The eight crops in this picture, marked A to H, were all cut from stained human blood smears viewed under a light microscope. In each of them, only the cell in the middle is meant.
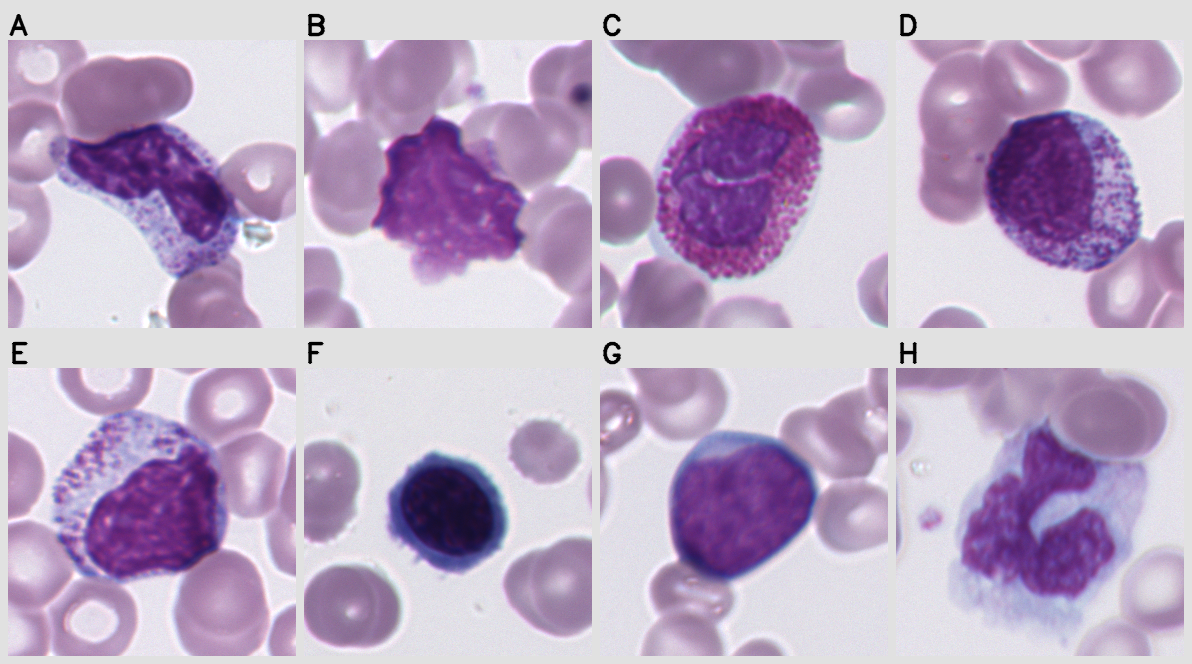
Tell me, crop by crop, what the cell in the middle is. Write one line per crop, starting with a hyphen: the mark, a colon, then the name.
- A: metamyelocyte
- B: smudge cell
- C: eosinophil
- D: myelocyte
- E: myelocyte
- F: normoblast
- G: myeloblast
- H: monocyte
